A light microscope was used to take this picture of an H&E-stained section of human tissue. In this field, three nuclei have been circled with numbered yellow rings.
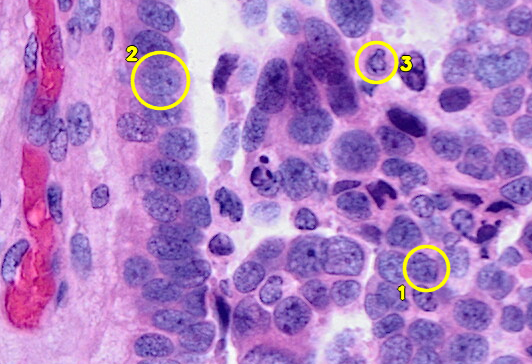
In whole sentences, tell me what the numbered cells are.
Cell 1 is a carcinoma cell, cell 2 is a carcinoma cell and cell 3 is a macrophage or monocyte.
